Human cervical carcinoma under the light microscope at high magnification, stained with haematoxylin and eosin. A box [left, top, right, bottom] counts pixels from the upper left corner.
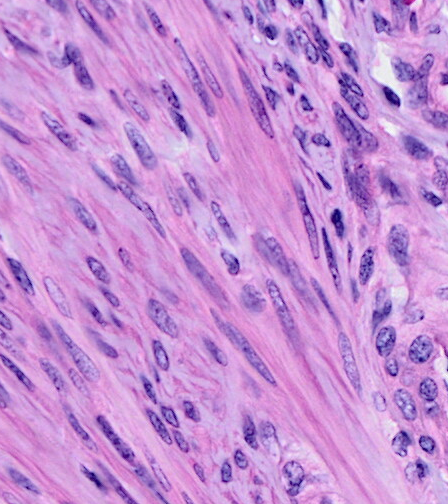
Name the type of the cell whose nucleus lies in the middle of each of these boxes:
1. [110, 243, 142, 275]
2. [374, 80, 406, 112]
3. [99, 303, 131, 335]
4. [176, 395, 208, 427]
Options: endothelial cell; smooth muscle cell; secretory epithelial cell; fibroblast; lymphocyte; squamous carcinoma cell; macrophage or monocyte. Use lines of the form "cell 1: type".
cell 1: smooth muscle cell
cell 2: lymphocyte
cell 3: smooth muscle cell
cell 4: smooth muscle cell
